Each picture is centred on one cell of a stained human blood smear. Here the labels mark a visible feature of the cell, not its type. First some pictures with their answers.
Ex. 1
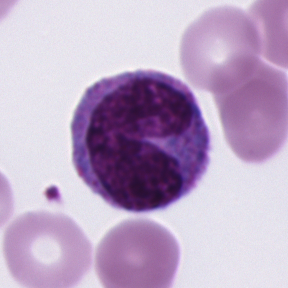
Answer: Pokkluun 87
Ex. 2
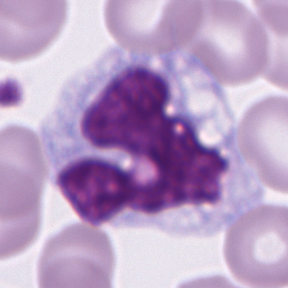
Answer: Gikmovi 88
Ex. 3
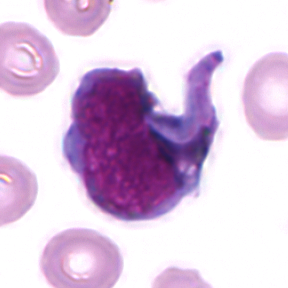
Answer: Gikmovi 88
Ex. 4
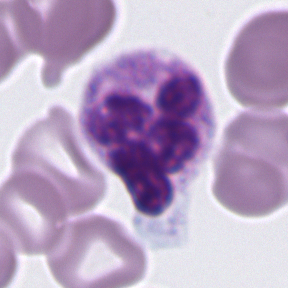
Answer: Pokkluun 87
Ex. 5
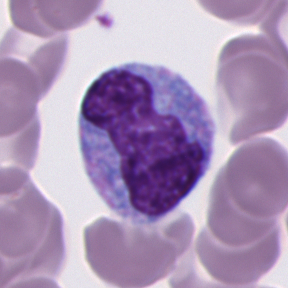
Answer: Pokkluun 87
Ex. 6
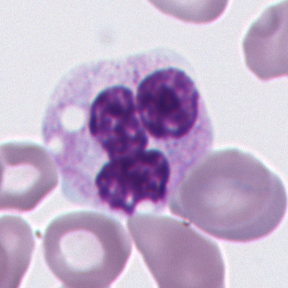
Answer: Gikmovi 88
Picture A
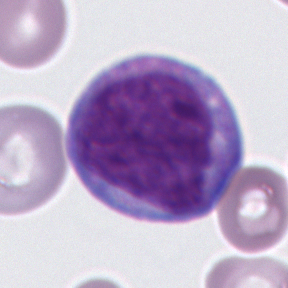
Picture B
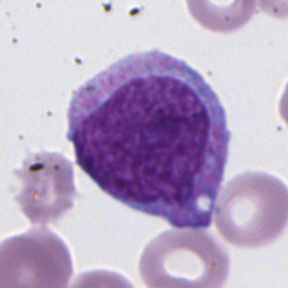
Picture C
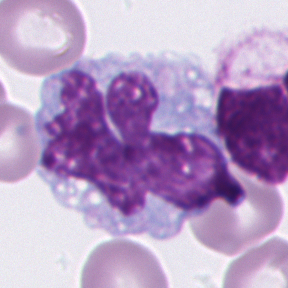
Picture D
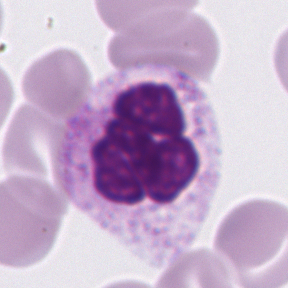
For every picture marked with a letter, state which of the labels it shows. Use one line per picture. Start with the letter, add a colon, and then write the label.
A: Pokkluun 87
B: Gikmovi 88
C: Gikmovi 88
D: Pokkluun 87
